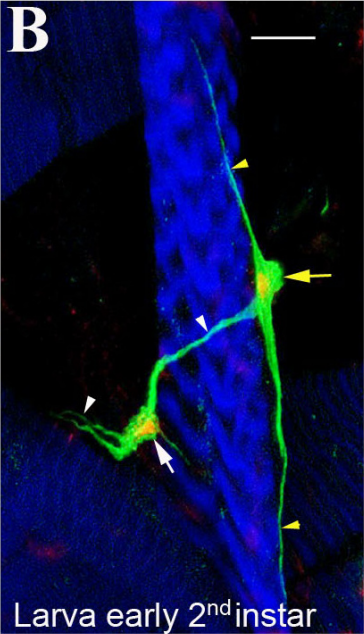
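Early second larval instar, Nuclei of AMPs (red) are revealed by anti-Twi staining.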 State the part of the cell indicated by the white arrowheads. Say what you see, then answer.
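Filopodia. Thin green processes run from the small cell body marked by the white arrow. At the lower left the process splits into several fine thread-like tips.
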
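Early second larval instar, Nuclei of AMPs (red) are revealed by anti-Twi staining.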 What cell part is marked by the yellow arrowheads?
Long cellular extensions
